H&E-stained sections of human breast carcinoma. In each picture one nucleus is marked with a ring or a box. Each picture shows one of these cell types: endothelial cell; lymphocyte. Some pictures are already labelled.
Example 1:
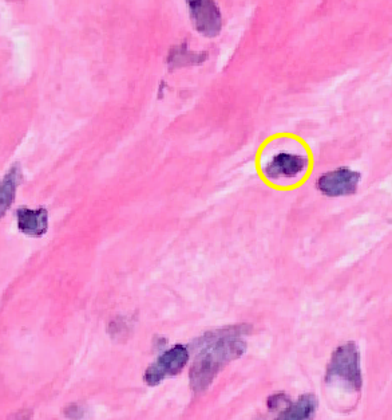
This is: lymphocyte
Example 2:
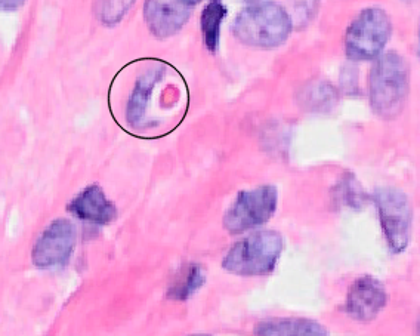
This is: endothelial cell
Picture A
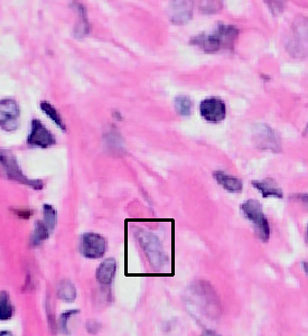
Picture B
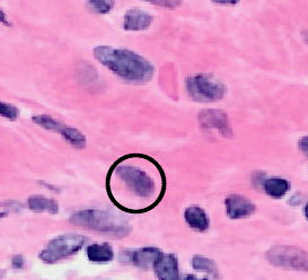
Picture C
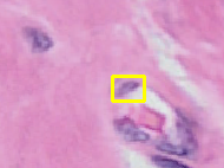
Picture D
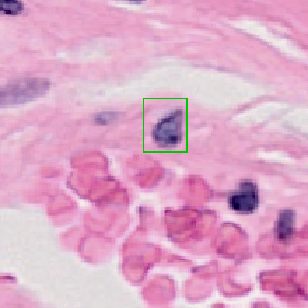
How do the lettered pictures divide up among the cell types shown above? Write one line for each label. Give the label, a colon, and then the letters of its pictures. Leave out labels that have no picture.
endothelial cell: A, C, D
lymphocyte: B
